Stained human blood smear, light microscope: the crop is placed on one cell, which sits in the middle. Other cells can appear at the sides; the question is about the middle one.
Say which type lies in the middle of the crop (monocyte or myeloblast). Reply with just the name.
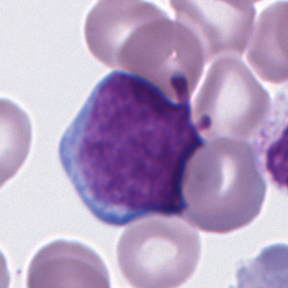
myeloblast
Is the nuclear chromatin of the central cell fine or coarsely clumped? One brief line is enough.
The chromatin is fine, with no coarse clumping anywhere.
